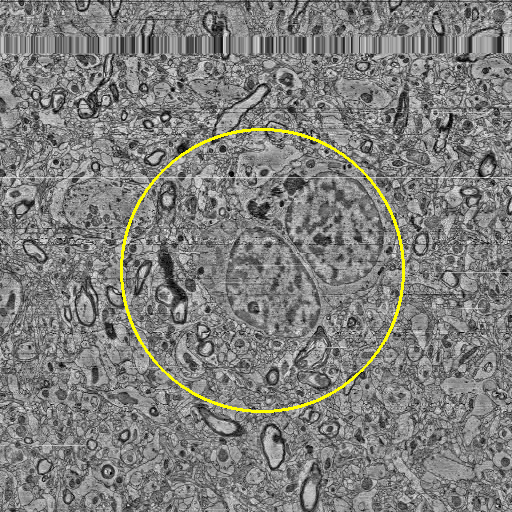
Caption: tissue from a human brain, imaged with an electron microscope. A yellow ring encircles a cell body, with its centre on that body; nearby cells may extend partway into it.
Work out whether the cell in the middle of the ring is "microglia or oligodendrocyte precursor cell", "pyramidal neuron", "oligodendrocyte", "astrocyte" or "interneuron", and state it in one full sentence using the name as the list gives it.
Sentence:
In the picture, the cell that the yellow ring surrounds at its centre is an oligodendrocyte.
